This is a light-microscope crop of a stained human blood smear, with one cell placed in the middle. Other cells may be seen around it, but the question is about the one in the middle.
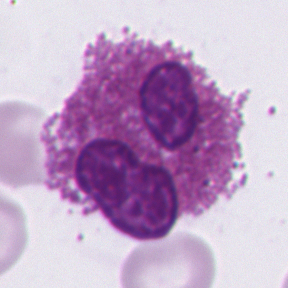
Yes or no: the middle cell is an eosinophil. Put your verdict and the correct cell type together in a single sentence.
Yes, the middle cell is classified as an eosinophil.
